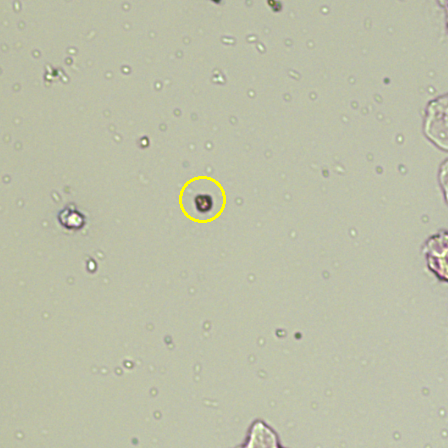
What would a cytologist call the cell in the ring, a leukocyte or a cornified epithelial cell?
A cytologist would call it a leukocyte.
